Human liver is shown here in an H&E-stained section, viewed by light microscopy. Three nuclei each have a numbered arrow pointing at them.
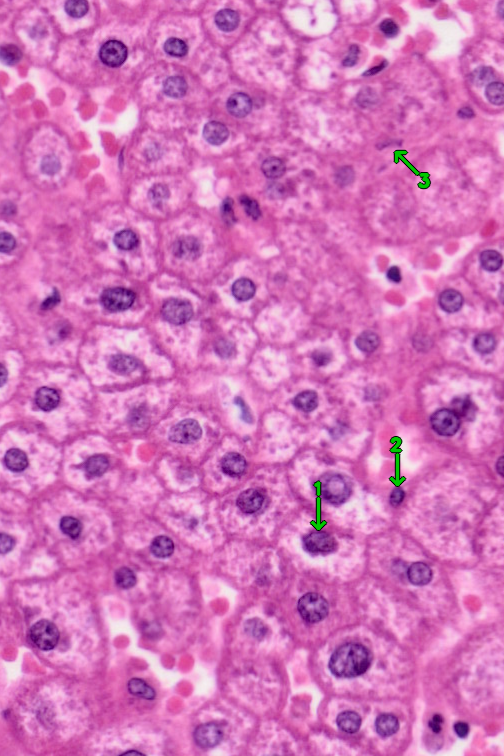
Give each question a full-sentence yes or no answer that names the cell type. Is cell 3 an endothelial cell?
Yes, the cell that bears the number 3 is an endothelial cell.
